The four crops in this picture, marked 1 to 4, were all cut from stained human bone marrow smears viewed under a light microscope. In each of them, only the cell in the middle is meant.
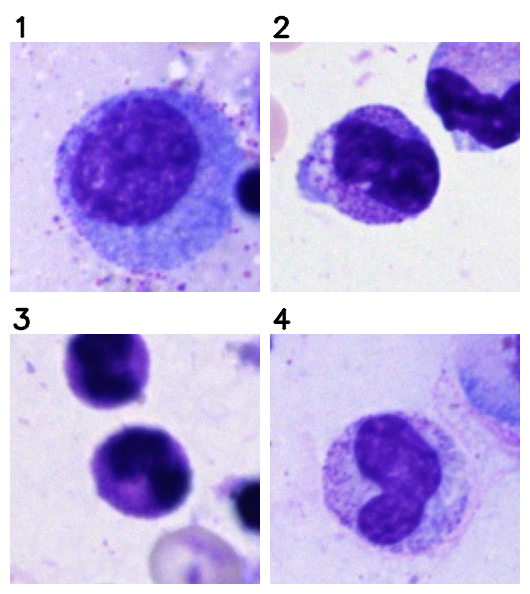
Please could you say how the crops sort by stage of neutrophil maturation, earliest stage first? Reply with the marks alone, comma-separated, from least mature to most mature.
1, 2, 4, 3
